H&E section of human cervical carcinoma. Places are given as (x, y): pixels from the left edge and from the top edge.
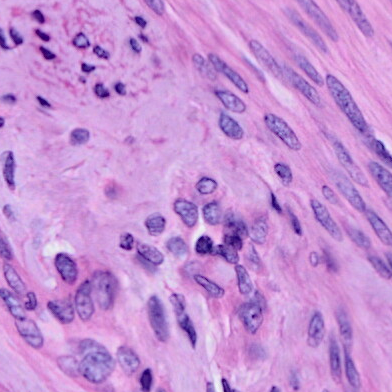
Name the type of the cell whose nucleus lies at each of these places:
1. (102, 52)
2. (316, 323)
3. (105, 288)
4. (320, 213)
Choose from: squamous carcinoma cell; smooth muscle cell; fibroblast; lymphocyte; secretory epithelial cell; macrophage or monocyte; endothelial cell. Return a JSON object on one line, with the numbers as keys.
{"1": "smooth muscle cell", "2": "smooth muscle cell", "3": "endothelial cell", "4": "smooth muscle cell"}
